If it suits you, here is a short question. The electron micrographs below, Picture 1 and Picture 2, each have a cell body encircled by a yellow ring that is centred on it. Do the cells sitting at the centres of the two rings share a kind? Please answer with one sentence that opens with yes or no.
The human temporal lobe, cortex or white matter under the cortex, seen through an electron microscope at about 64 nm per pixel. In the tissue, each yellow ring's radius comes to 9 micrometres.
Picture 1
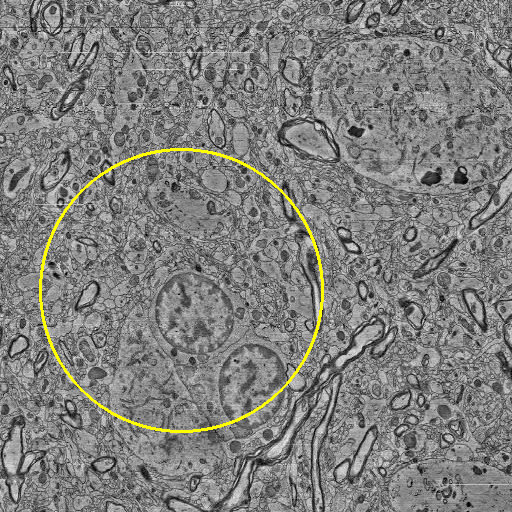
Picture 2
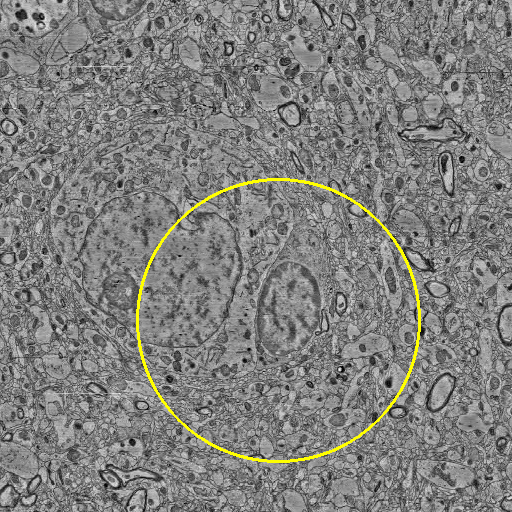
Yes, the two cells sitting at the ring centres share a single kind.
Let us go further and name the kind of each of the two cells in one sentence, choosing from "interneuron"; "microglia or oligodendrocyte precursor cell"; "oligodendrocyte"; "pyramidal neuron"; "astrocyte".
Both the first and the second picture show an oligodendrocyte in the ring.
